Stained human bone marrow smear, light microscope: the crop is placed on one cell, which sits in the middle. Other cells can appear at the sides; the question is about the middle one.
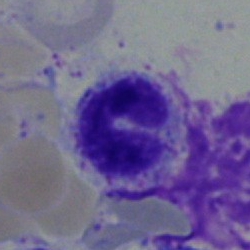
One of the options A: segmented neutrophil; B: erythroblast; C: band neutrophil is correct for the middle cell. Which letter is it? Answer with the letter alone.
C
